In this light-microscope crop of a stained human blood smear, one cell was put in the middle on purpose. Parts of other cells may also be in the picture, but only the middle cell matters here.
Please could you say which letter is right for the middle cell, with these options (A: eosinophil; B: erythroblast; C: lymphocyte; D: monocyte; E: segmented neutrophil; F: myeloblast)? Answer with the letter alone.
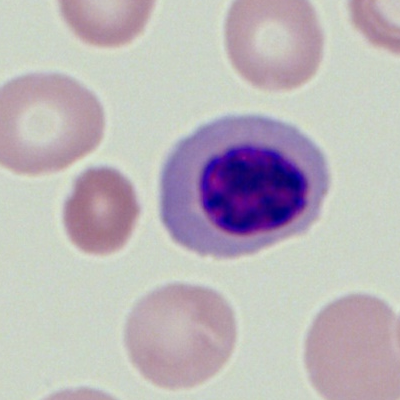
B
